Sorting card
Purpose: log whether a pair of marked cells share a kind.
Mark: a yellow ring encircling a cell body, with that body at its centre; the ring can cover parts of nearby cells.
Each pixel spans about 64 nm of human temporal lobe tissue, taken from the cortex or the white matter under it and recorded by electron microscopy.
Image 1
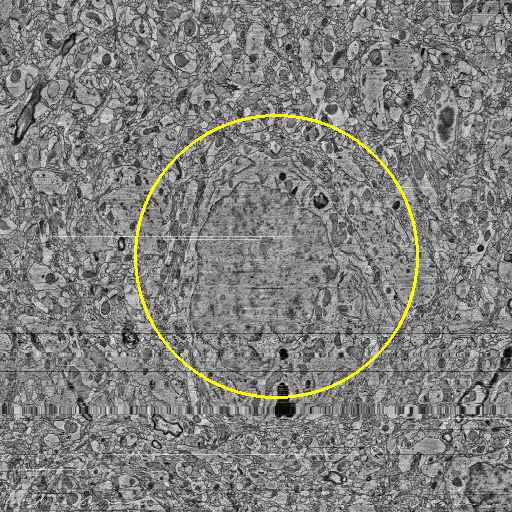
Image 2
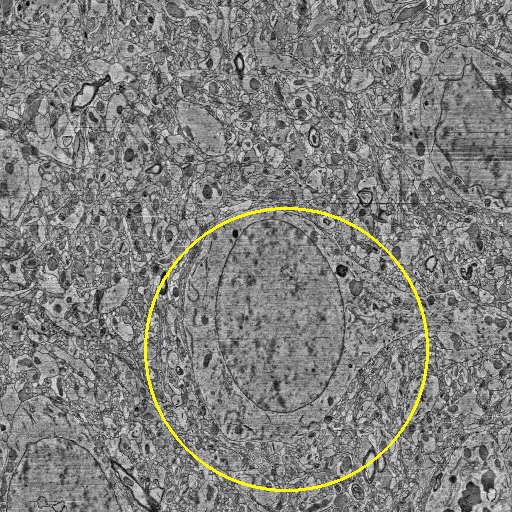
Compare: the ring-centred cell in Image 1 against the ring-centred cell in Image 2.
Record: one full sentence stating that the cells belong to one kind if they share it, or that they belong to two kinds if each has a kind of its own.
Across Images 1 and 2, the two ring-centred cells belong to two kinds.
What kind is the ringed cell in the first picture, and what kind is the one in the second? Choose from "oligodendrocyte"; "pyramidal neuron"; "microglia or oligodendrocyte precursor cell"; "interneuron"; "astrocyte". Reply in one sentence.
The first cell is an interneuron; the second is a pyramidal neuron.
